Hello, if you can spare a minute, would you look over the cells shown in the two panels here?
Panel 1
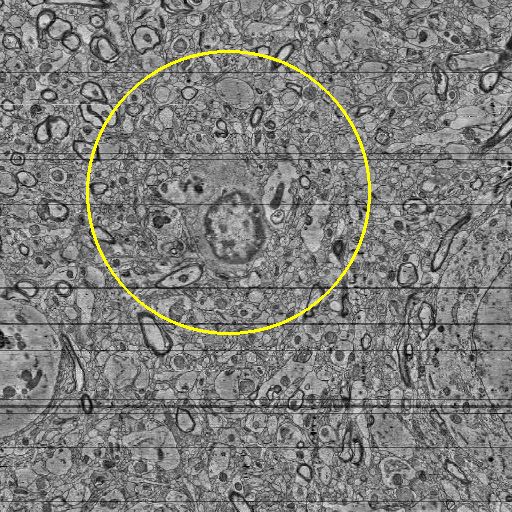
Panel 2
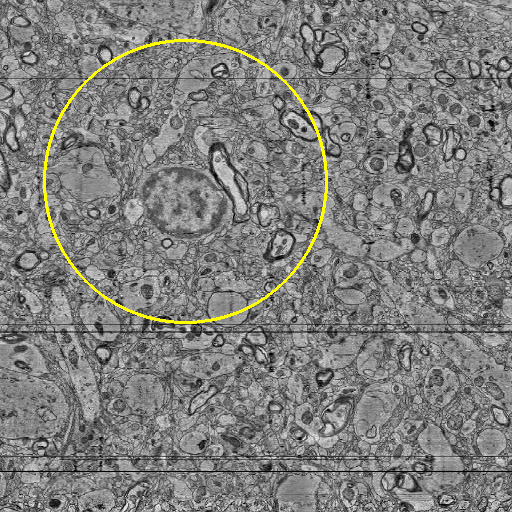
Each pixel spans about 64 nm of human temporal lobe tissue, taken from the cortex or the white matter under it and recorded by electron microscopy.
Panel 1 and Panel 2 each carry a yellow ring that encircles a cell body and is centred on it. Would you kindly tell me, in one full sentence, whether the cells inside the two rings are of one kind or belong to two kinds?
The cells at the centres of the rings in Panel 1 and Panel 2 are of one kind.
